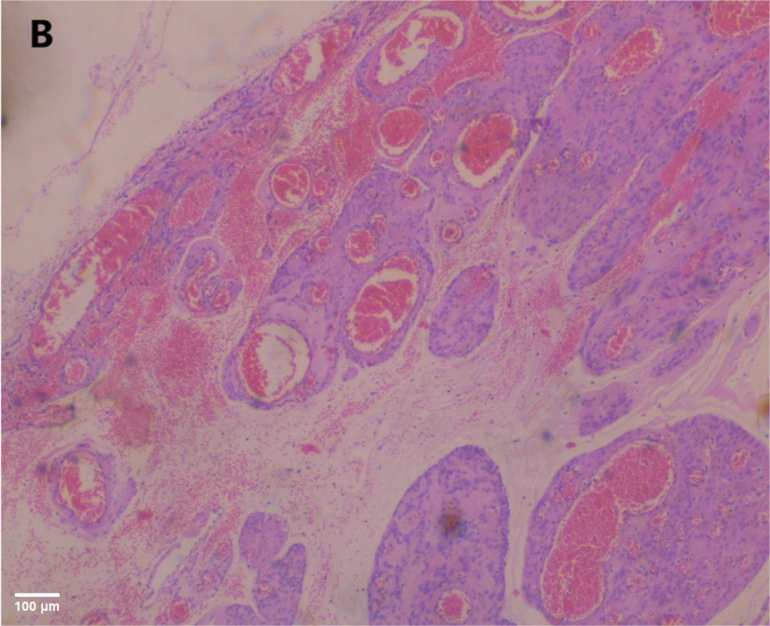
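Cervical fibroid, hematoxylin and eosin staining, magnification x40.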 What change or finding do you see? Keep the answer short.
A: Vascular congestion.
